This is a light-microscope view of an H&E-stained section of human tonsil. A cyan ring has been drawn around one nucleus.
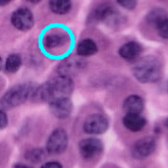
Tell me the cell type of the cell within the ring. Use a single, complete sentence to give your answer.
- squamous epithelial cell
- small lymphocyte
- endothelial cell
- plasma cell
The cell type of the cell within the ring is that of a plasma cell.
